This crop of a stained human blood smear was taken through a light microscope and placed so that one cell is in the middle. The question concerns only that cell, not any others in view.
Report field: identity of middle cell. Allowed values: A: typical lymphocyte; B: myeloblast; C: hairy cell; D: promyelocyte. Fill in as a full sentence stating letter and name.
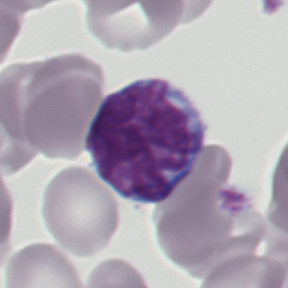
Option A is correct; the cell in the middle is a typical lymphocyte.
